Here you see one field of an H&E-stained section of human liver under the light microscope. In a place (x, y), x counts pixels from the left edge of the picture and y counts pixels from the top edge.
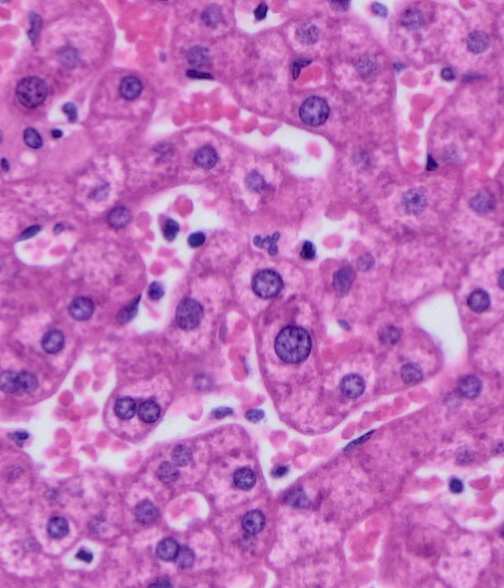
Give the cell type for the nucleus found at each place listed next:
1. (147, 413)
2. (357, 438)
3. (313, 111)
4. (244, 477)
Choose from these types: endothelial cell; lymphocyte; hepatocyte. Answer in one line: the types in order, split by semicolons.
hepatocyte; endothelial cell; hepatocyte; hepatocyte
